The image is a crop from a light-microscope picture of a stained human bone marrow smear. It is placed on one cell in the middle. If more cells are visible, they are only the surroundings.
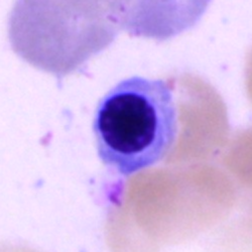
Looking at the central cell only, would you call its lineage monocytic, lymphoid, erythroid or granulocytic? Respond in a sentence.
Lineage classification of the central cell is erythroid.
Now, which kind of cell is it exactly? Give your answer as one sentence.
As for the cell in the middle, it is an erythroblast.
